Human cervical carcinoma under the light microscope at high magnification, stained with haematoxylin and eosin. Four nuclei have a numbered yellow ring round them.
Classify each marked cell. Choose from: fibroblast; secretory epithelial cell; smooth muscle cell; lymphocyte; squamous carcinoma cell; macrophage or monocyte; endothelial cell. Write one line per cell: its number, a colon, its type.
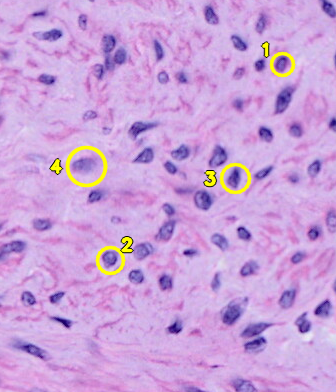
1: smooth muscle cell
2: smooth muscle cell
3: fibroblast
4: smooth muscle cell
